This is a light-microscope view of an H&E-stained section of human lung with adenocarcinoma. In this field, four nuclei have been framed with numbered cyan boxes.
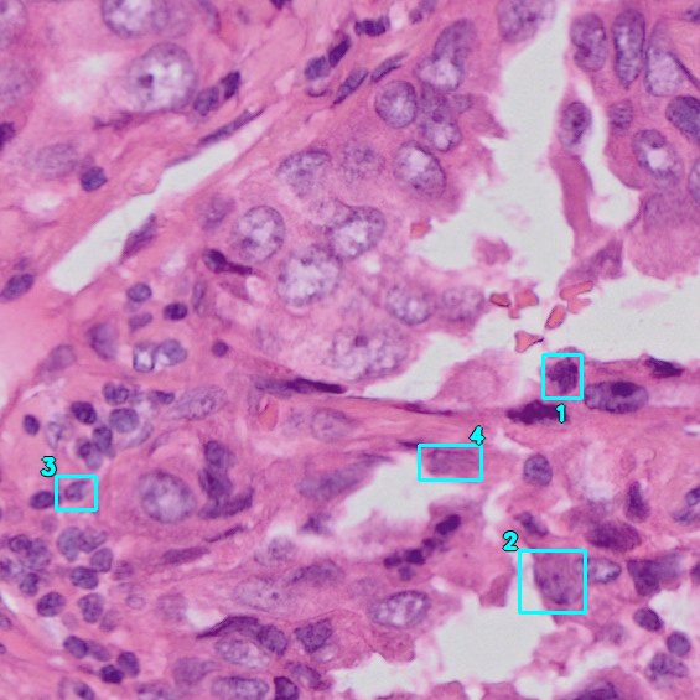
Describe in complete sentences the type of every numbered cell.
Cells 1, 2 and 4 are carcinoma cells. Cell 3 is a lymphocyte.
